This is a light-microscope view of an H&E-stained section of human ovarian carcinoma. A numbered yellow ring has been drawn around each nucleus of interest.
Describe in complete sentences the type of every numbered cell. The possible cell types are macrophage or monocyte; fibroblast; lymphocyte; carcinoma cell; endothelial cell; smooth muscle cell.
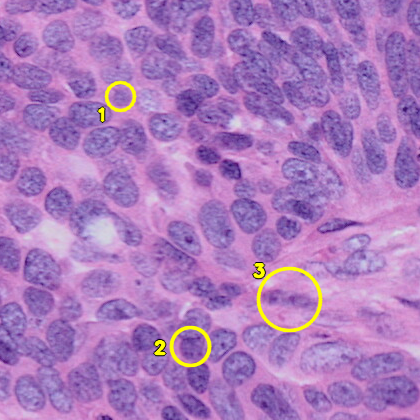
Cells 1 and 2 are carcinoma cells. Cell 3 is a fibroblast.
